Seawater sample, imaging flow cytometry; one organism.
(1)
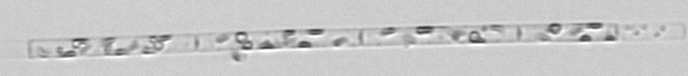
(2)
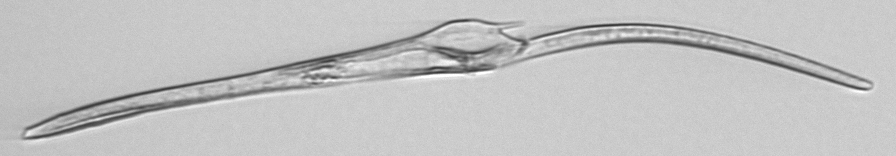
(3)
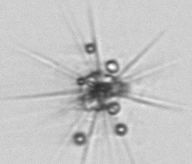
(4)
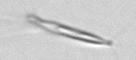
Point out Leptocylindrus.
That is picture 1.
